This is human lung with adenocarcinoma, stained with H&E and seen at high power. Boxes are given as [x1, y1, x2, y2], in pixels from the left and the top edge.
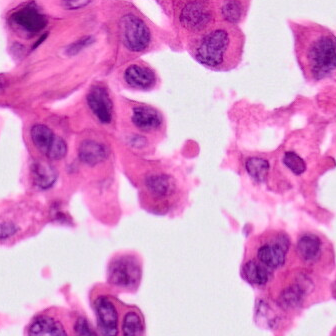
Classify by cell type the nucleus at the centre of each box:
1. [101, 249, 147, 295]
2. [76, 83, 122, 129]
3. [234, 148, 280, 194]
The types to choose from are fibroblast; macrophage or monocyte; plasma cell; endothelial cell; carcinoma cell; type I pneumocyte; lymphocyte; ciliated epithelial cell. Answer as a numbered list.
1. carcinoma cell
2. carcinoma cell
3. macrophage or monocyte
